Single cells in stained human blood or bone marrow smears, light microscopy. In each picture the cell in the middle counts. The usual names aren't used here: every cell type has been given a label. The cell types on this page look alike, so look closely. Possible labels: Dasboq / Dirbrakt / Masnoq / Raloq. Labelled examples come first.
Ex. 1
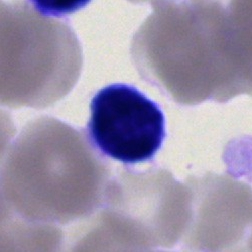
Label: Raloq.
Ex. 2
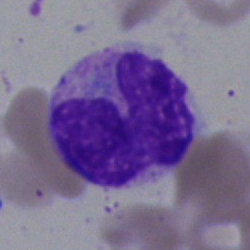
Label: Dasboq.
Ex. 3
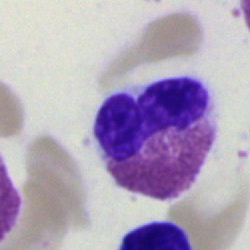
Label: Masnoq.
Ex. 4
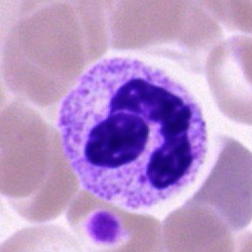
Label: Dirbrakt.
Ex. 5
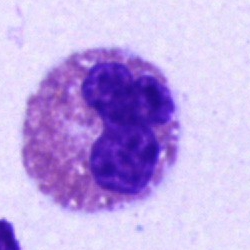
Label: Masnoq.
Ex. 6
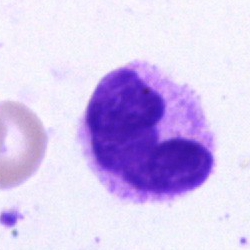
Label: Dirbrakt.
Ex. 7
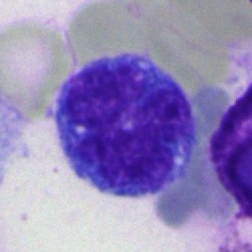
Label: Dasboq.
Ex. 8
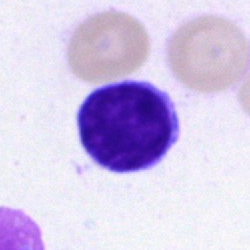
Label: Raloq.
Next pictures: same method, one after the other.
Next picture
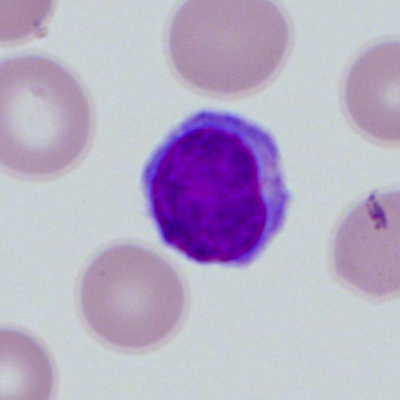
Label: Raloq.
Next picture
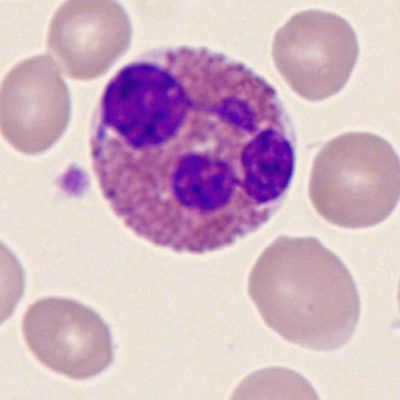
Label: Masnoq.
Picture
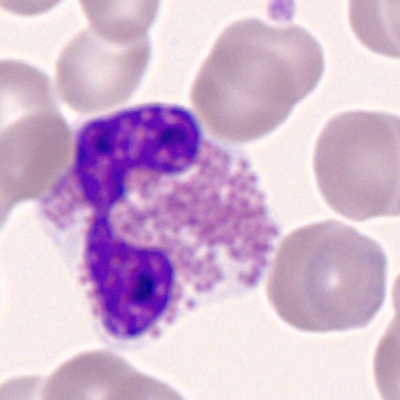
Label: Masnoq.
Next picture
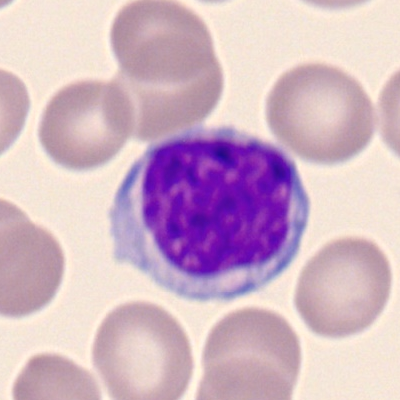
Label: Raloq.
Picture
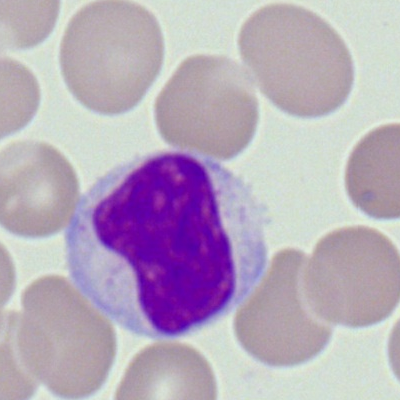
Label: Raloq.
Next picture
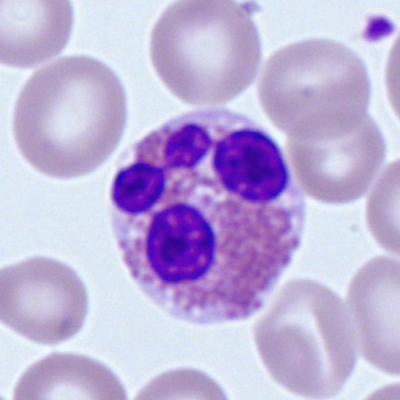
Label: Masnoq.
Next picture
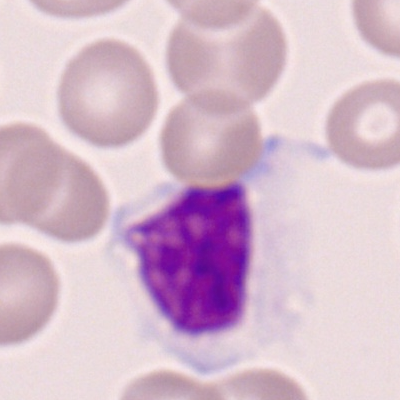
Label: Raloq.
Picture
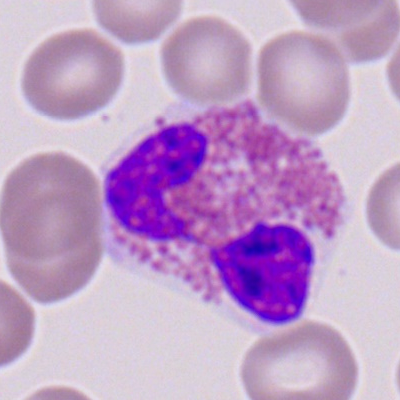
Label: Masnoq.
